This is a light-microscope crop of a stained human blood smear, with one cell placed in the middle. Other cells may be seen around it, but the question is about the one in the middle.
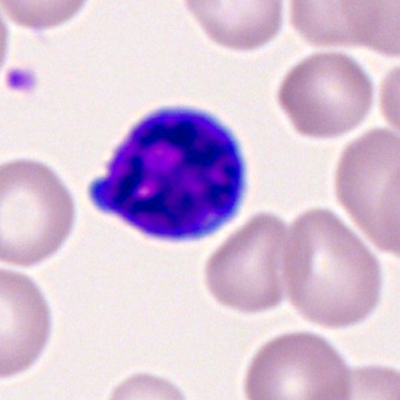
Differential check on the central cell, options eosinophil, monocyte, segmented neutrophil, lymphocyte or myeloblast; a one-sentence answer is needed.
The cell in the middle of this crop is a lymphocyte.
